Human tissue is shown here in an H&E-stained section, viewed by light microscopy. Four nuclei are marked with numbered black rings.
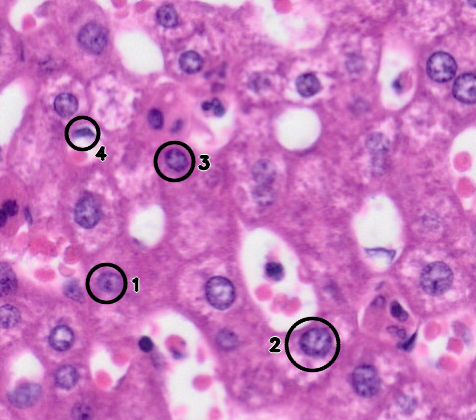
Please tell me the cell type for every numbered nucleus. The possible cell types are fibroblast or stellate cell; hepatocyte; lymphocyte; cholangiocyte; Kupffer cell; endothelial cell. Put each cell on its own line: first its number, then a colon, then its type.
1: hepatocyte
2: hepatocyte
3: hepatocyte
4: endothelial cell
